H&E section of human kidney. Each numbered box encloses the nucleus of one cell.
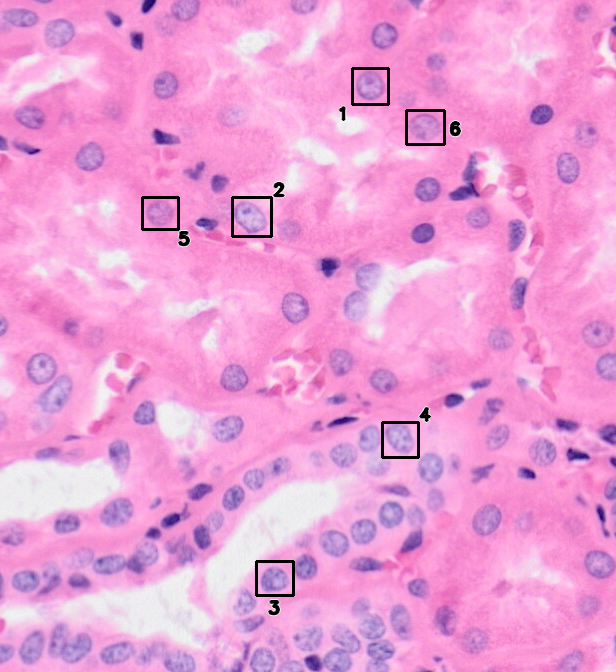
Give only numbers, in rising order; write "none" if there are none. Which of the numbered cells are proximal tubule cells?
1, 2, 5, 6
